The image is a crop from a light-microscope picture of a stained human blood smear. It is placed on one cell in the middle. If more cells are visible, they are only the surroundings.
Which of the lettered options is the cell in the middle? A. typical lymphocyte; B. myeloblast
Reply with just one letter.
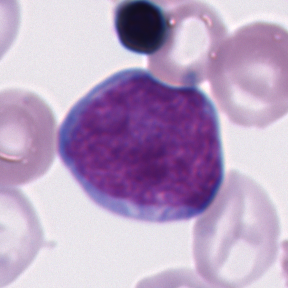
B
